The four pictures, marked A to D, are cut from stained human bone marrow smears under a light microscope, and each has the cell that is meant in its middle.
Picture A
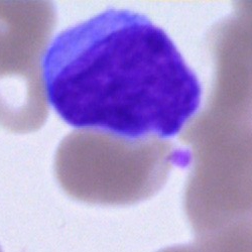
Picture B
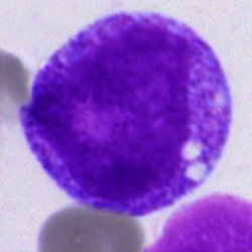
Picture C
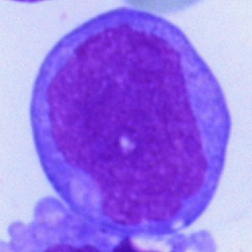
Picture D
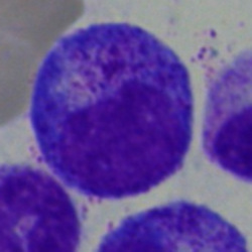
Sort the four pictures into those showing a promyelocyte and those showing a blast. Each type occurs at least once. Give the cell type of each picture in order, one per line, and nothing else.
blast
promyelocyte
blast
promyelocyte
